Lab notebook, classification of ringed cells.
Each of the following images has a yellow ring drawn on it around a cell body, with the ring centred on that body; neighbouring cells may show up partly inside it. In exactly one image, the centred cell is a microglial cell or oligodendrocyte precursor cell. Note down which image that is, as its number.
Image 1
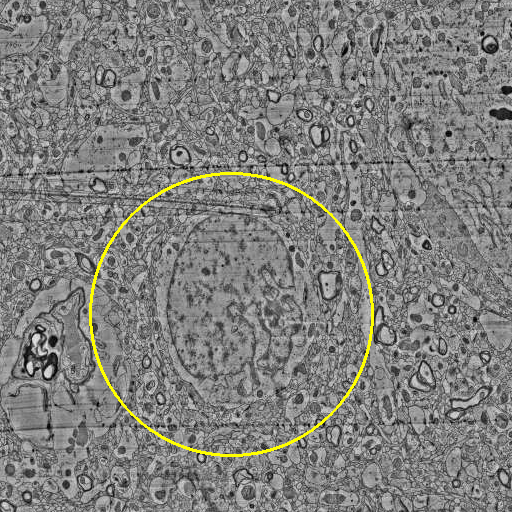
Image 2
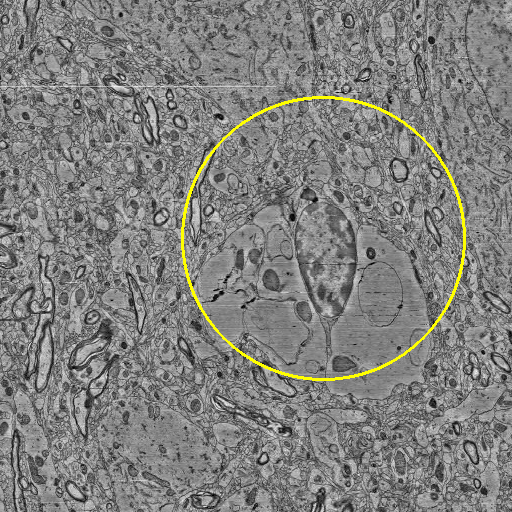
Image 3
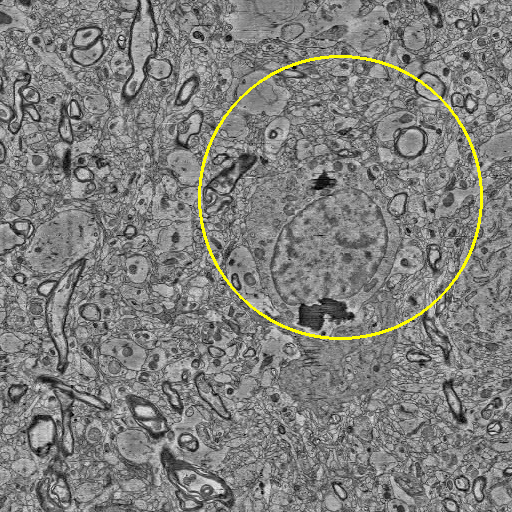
2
